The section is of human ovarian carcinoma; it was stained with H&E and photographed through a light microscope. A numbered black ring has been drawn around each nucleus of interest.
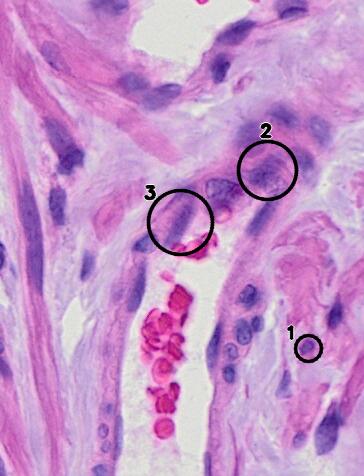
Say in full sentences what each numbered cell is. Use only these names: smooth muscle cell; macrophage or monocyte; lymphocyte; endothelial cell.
Cell 1 is a smooth muscle cell, cell 2 is an endothelial cell and cell 3 is an endothelial cell.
